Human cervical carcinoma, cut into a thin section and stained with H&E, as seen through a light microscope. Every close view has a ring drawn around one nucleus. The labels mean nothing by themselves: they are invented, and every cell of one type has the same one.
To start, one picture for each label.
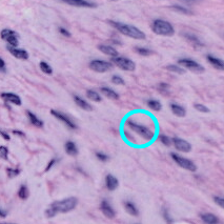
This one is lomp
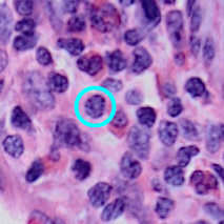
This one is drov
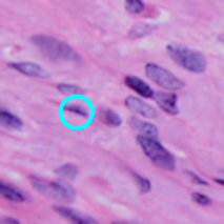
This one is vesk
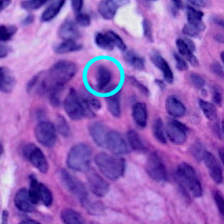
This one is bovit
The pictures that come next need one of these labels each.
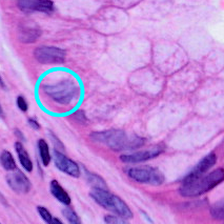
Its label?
bovit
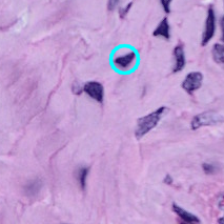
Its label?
vesk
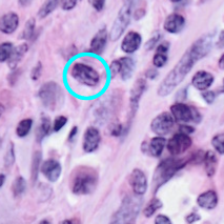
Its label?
drov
